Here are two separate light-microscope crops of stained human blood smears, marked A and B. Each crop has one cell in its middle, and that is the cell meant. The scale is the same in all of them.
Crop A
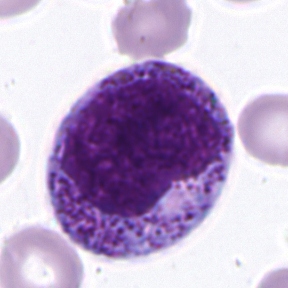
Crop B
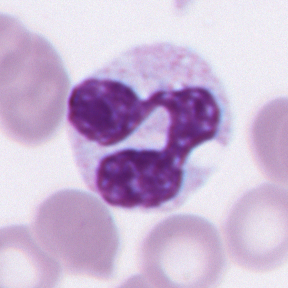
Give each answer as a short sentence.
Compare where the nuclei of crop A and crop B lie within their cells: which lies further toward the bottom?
The nucleus in crop B lies further toward the bottom of its cell.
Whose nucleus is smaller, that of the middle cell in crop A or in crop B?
Crop B shows the smaller nucleus, since that in crop A covers about 1.5 times as much area.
